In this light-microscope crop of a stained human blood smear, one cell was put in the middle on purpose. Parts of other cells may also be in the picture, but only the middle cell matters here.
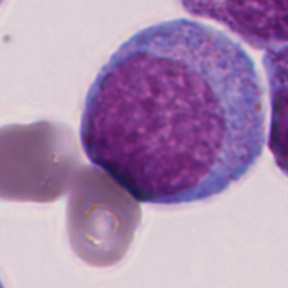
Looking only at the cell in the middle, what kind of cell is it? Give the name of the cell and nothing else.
promyelocyte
